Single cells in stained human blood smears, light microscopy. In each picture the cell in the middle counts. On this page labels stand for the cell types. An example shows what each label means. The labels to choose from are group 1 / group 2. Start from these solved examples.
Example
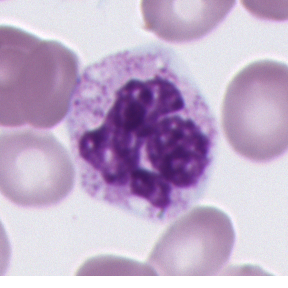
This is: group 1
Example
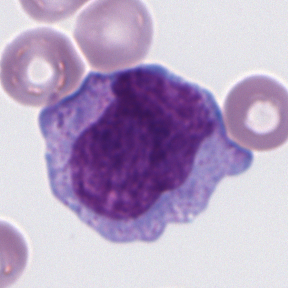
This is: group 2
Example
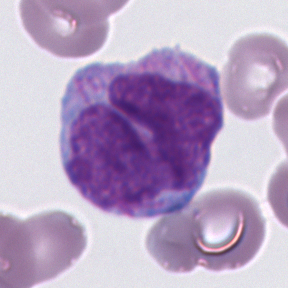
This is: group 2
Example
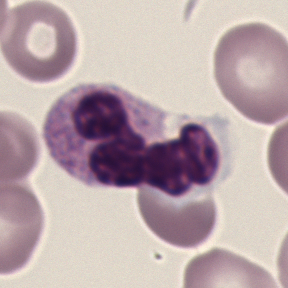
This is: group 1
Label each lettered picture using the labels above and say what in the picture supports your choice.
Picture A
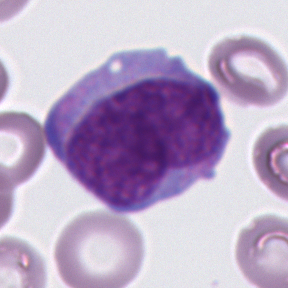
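group 2: The nucleus fills most of the cell and sits off-centre toward the lower right, leaving more cytoplasm on the upper left.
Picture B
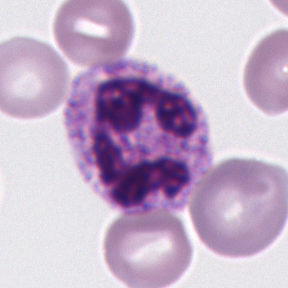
group 1: Ample pale pink cytoplasm surrounds and lies between the nuclear lobes.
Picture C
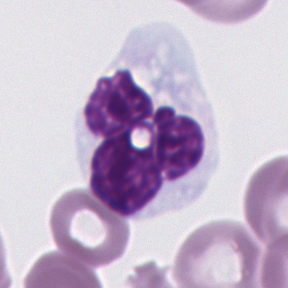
group 1: The cytoplasm is plentiful, pale blue-grey, and lies mostly above and to the right of the nucleus.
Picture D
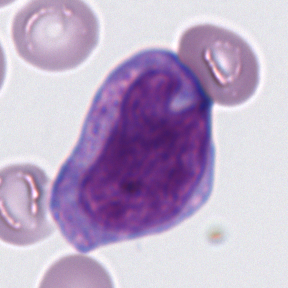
group 2: The nucleus fills most of the cell.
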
